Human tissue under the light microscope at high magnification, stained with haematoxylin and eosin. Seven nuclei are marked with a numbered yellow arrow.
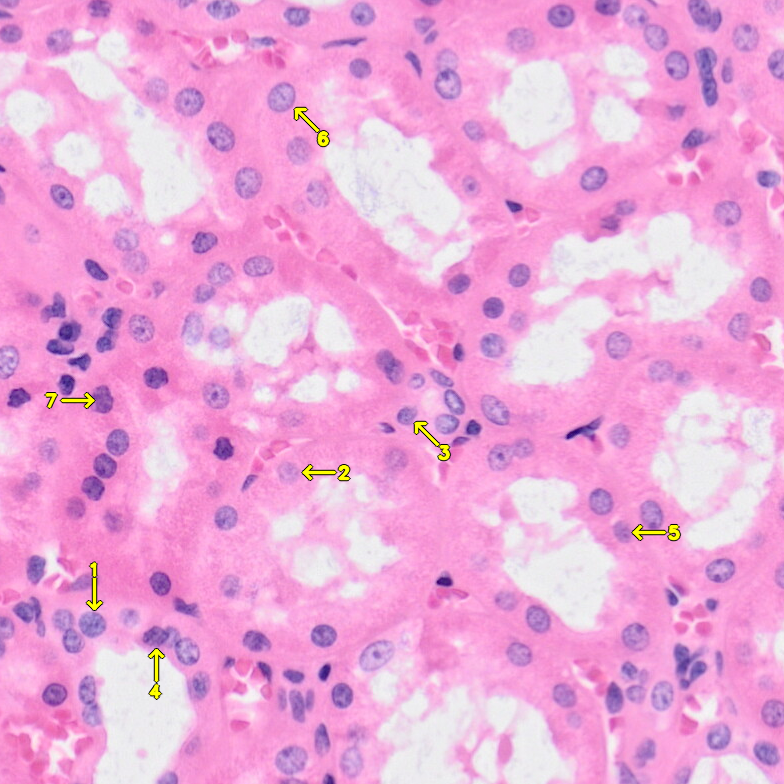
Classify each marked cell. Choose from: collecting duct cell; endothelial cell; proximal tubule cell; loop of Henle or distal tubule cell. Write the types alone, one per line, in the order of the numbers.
collecting duct cell
proximal tubule cell
collecting duct cell
collecting duct cell
proximal tubule cell
proximal tubule cell
proximal tubule cell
